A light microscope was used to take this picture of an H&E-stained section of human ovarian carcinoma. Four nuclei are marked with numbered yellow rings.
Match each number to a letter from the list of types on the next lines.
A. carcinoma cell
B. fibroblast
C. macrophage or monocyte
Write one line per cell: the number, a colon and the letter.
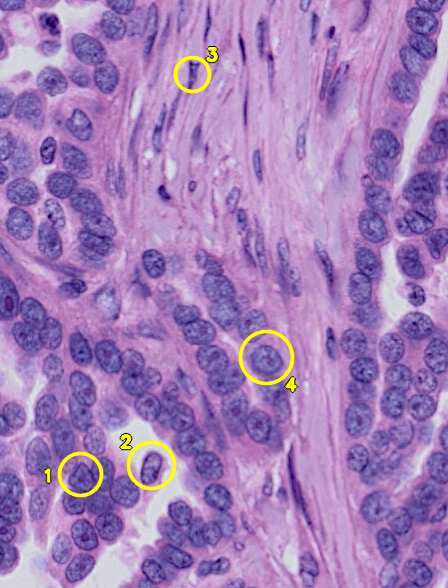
1: A
2: C
3: B
4: A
